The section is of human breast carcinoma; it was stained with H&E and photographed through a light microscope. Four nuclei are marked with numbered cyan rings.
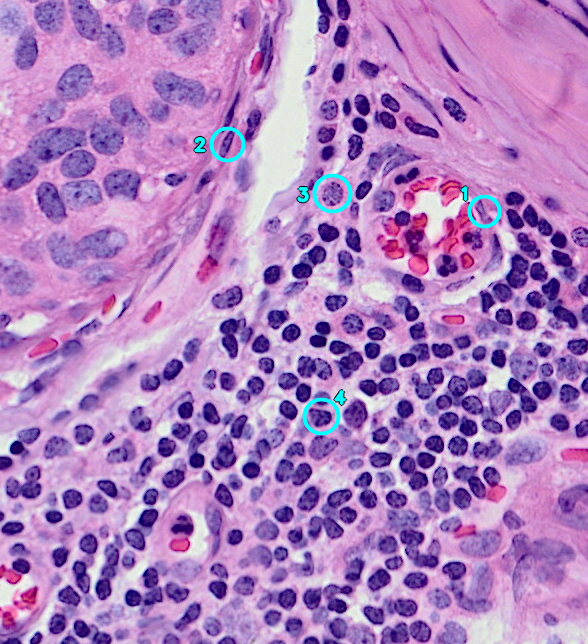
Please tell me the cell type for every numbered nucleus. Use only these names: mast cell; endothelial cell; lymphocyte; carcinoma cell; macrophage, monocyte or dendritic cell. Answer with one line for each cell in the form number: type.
1: endothelial cell
2: endothelial cell
3: mast cell
4: lymphocyte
